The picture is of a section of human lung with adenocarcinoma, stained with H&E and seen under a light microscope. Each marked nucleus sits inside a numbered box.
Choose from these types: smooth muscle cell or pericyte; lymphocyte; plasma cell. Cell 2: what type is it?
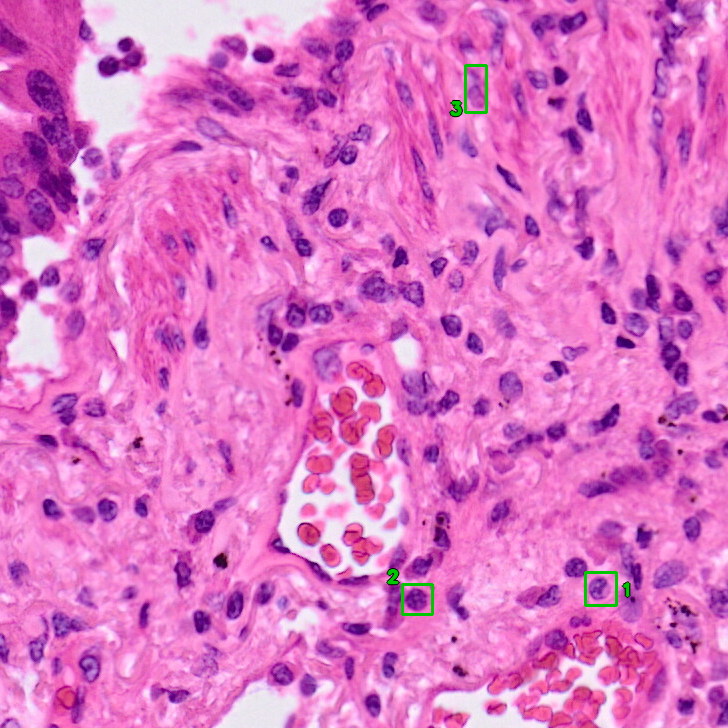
lymphocyte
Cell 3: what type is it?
smooth muscle cell or pericyte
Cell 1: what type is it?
lymphocyte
